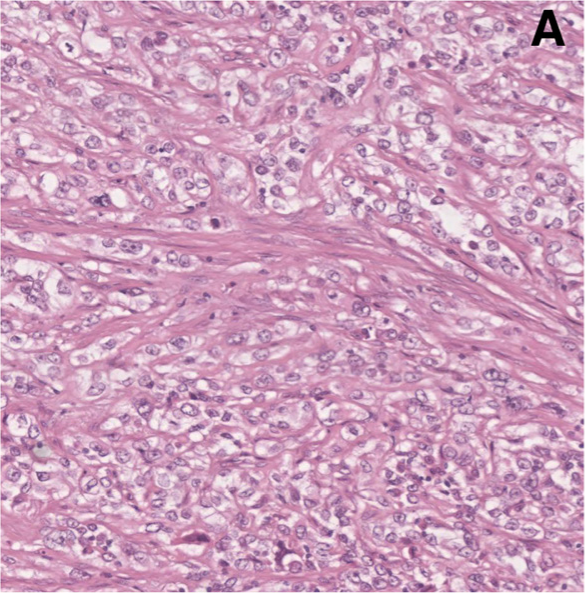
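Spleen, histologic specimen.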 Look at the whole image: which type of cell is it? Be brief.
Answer: atypical epitheliomorphic cells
